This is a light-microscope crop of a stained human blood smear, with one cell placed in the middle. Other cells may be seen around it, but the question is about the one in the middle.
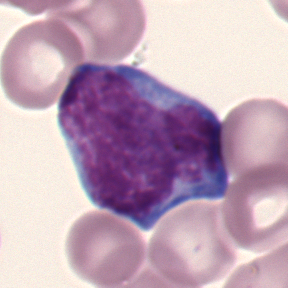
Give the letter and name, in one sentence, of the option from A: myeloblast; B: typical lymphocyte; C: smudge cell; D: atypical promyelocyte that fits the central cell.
The cell shown centrally is a myeloblast; option A is the correct option.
